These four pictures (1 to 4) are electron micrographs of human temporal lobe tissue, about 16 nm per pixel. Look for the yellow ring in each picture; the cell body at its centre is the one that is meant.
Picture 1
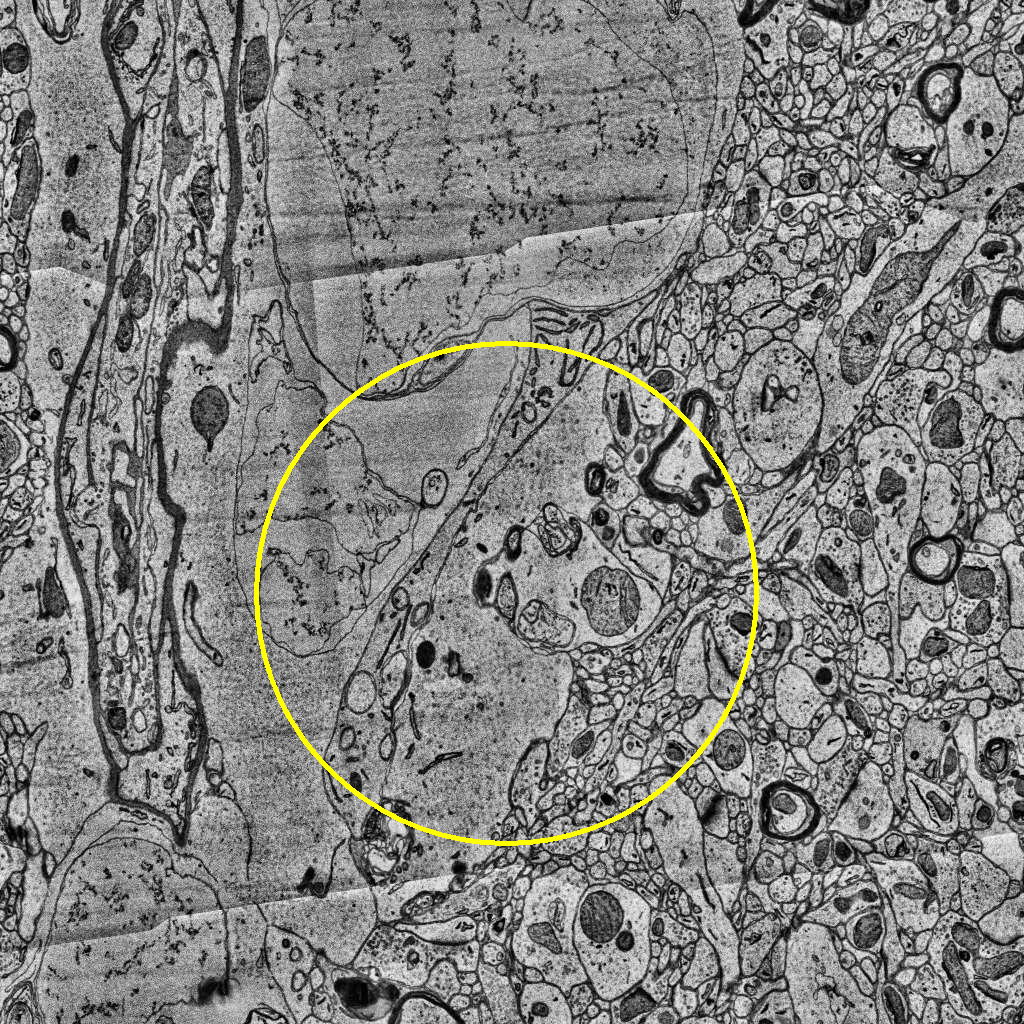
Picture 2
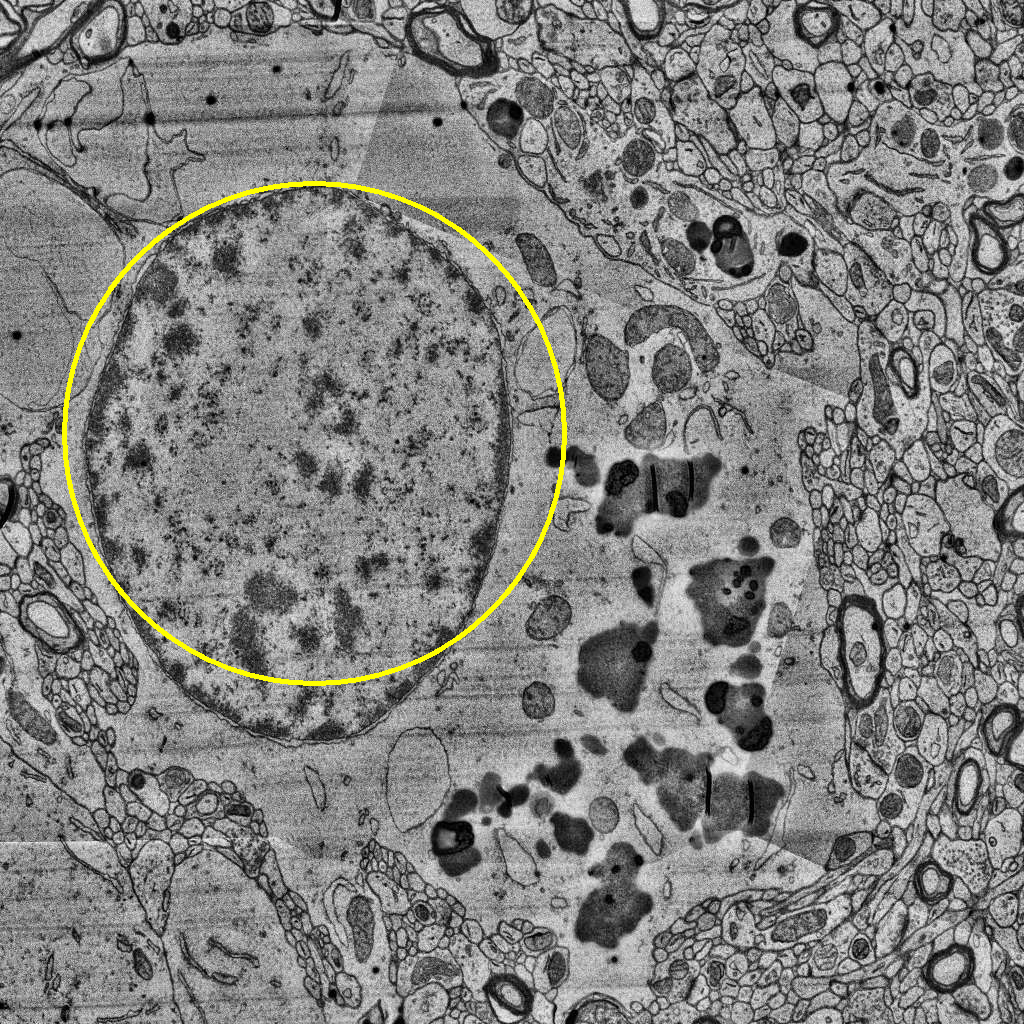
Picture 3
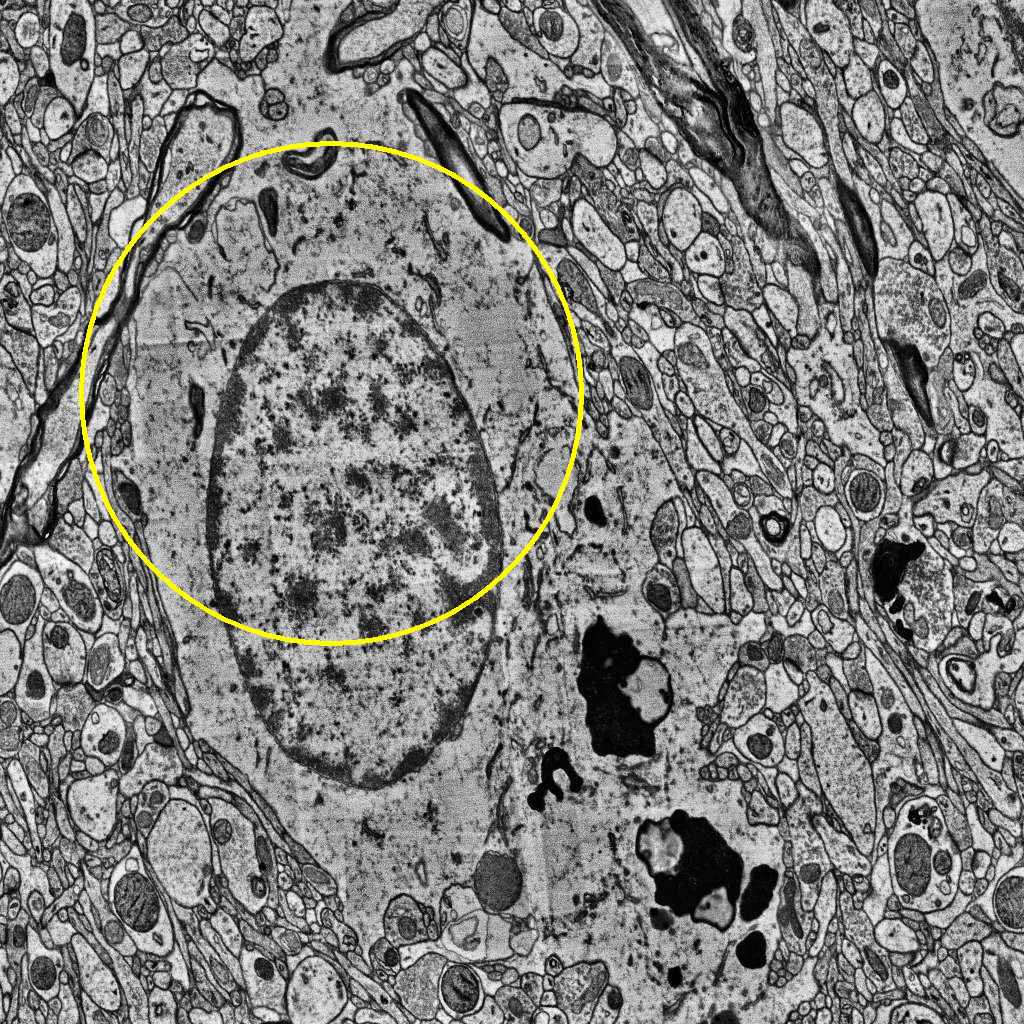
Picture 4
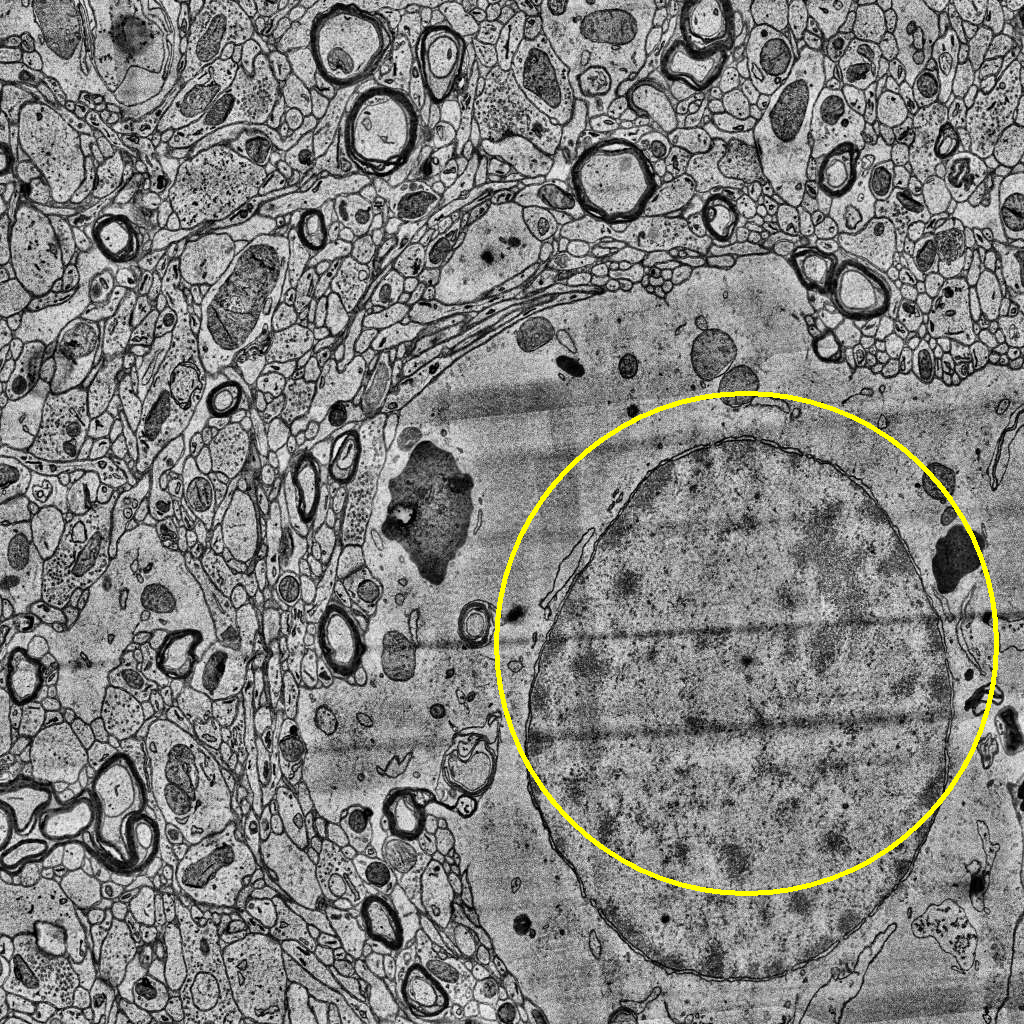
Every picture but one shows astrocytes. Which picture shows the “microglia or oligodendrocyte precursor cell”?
Picture 1 shows the “microglia or oligodendrocyte precursor cell”.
